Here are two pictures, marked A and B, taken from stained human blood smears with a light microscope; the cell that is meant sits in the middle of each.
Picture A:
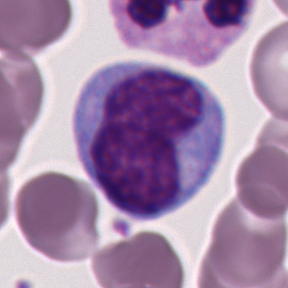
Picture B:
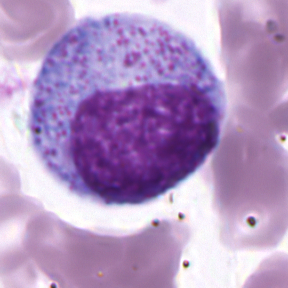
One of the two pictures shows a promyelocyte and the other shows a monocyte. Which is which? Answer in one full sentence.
In picture A the cell is a monocyte; in picture B, a promyelocyte.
